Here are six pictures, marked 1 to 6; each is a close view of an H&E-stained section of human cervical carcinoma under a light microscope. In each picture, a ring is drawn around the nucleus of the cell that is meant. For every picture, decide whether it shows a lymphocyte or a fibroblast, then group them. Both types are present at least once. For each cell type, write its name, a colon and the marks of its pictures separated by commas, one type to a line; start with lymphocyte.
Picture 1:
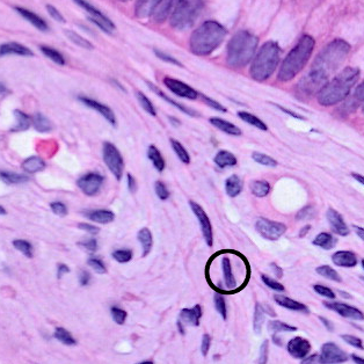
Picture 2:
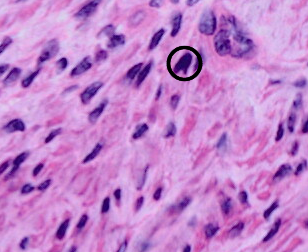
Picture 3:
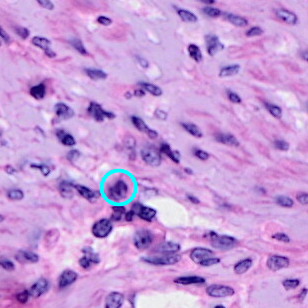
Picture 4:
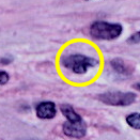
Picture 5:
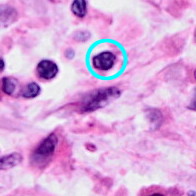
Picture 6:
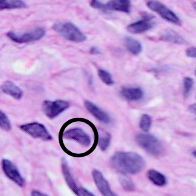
lymphocyte: 2, 3, 4, 5
fibroblast: 1, 6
